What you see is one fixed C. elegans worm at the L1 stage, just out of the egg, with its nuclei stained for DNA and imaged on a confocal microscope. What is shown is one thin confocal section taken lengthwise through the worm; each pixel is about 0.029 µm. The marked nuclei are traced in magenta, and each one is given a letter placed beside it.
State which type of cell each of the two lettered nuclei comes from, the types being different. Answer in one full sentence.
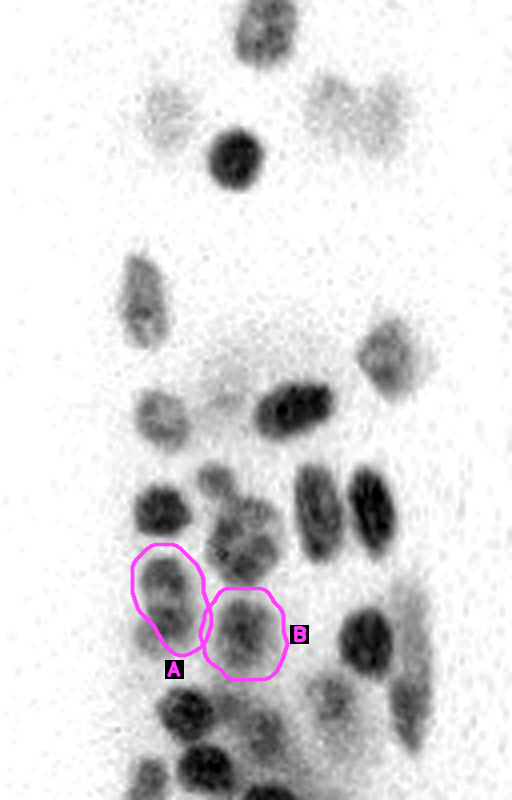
A belongs to a body wall muscle cell and B to a pharyngeal muscle cell.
